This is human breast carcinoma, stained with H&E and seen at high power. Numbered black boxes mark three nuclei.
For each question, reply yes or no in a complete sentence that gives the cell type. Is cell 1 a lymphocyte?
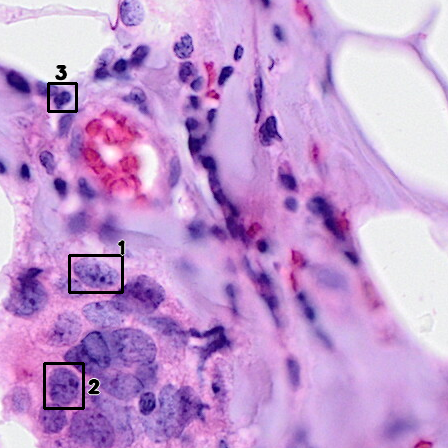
No, cell 1 should be read as a carcinoma cell instead of a lymphocyte.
